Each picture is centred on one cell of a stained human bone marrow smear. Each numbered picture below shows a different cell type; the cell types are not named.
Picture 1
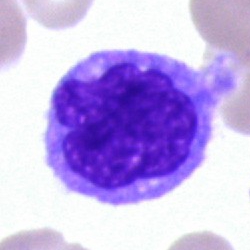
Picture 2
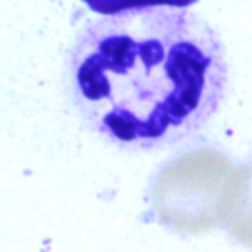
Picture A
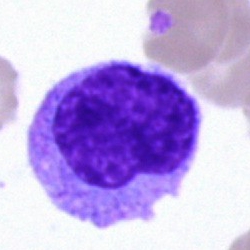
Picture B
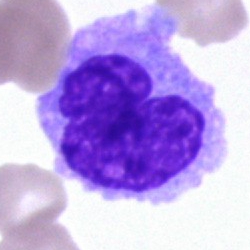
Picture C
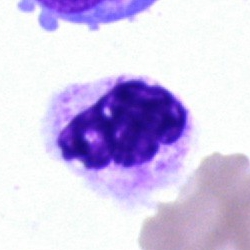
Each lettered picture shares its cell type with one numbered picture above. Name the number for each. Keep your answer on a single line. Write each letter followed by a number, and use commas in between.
A 1, B 1, C 2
